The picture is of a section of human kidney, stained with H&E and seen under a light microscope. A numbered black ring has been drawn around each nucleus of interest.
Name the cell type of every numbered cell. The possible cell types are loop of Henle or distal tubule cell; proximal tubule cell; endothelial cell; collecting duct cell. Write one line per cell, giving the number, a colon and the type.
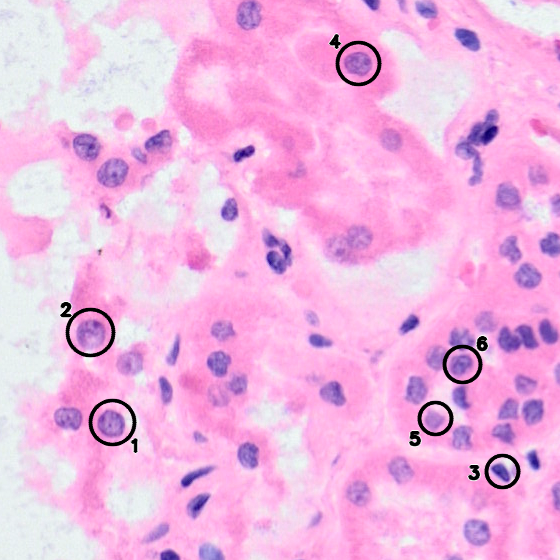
1: proximal tubule cell
2: proximal tubule cell
3: endothelial cell
4: proximal tubule cell
5: loop of Henle or distal tubule cell
6: loop of Henle or distal tubule cell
